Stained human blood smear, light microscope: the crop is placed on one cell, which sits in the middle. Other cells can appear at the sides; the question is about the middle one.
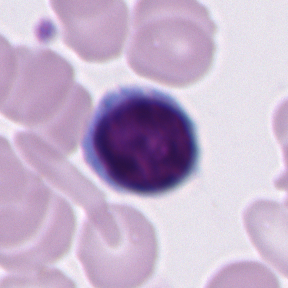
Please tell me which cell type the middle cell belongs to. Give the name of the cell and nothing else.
lymphocyte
